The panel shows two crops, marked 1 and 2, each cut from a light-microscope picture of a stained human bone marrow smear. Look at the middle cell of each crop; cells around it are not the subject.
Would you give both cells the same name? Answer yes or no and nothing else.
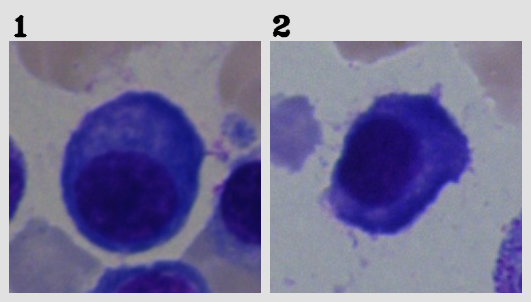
yes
